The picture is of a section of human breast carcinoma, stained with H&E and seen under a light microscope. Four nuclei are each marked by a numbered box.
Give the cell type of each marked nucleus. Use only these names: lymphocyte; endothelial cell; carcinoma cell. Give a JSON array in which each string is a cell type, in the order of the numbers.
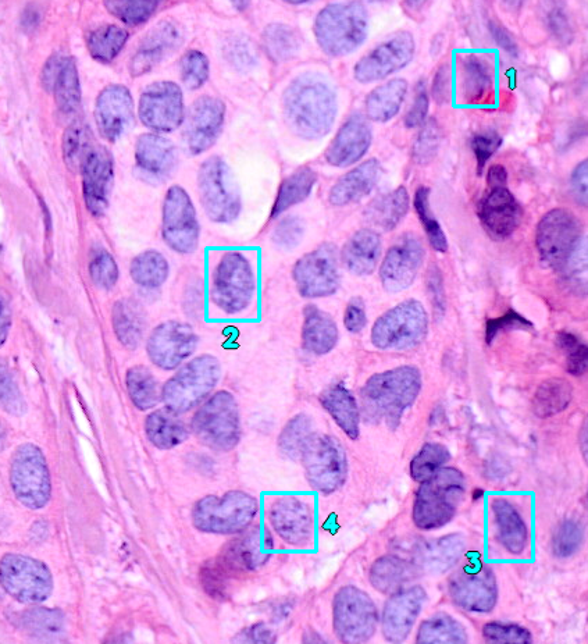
["endothelial cell", "carcinoma cell", "carcinoma cell", "carcinoma cell"]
